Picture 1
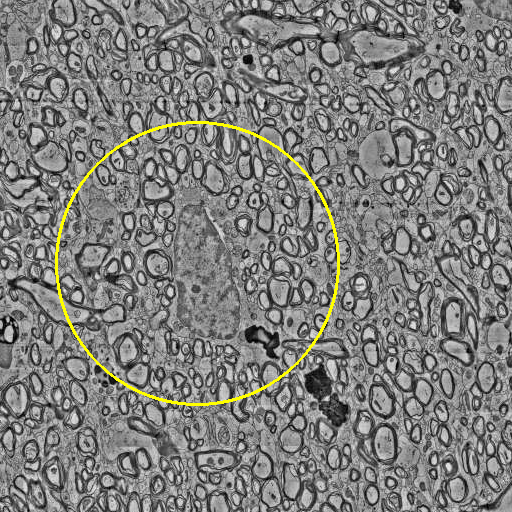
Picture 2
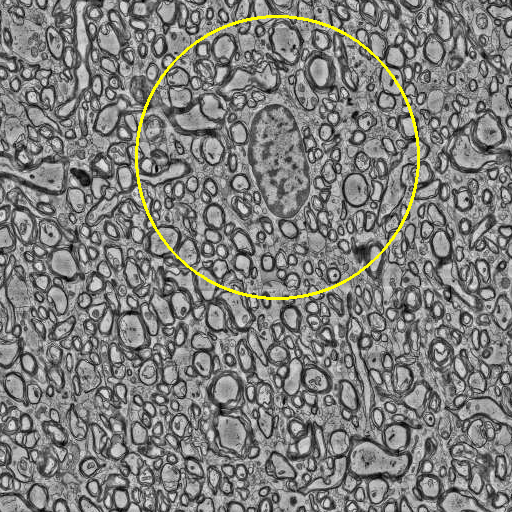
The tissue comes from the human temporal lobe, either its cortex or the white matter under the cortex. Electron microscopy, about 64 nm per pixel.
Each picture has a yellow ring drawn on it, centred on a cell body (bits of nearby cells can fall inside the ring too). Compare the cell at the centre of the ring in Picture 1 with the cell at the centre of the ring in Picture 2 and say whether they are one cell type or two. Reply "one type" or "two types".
two types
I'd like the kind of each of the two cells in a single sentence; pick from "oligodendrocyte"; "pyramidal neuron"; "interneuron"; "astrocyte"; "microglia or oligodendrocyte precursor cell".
The first ring marks an oligodendrocyte, and the second ring marks a microglial cell or oligodendrocyte precursor cell.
